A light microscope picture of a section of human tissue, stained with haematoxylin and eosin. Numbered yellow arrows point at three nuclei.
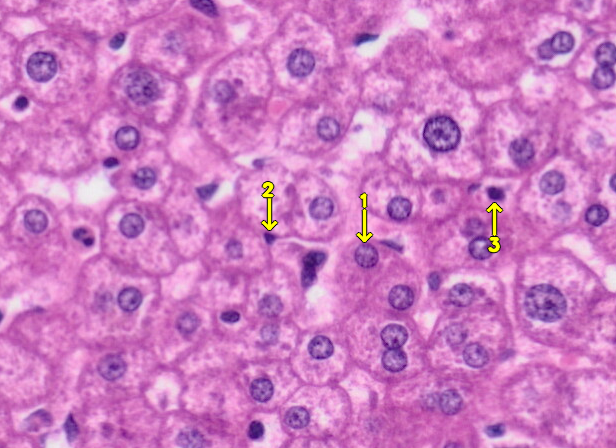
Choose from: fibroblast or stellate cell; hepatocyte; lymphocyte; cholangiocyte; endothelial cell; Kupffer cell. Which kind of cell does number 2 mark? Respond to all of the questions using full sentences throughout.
Cell 2, among those numbered, is a fibroblast or stellate cell.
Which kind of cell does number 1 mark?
The nucleus labelled 1 belongs to a hepatocyte.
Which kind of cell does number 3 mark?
It is as a lymphocyte that the cell numbered 3 is identified.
